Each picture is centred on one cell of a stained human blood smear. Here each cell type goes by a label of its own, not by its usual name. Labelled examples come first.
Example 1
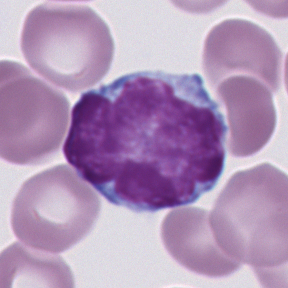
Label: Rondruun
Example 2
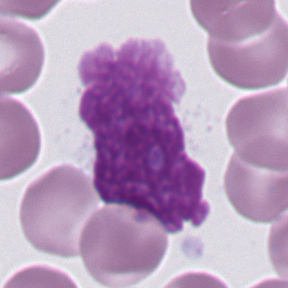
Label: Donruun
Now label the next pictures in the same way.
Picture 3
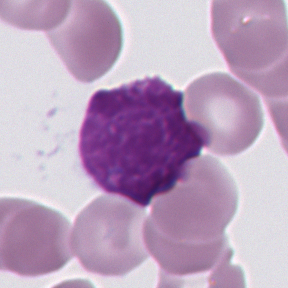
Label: Donruun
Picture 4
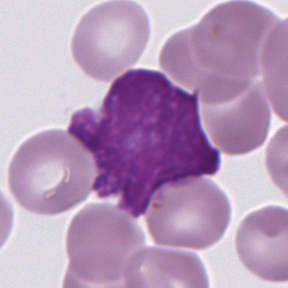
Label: Donruun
